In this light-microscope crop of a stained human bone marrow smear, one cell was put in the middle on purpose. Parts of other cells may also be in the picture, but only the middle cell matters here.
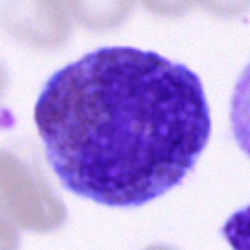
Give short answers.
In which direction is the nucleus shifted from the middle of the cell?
right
